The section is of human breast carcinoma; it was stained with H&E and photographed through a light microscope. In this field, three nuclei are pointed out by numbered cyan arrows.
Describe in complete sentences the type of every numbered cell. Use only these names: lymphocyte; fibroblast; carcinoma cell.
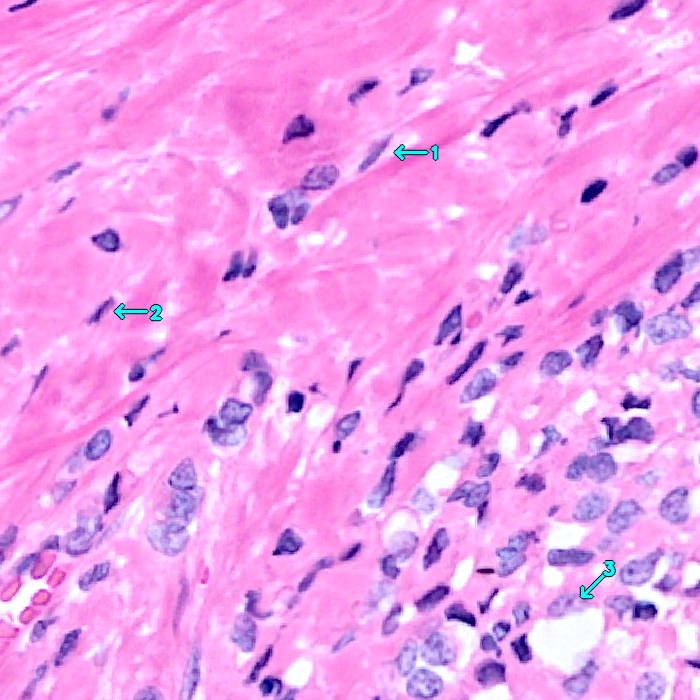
Cells 1 and 2 are fibroblasts. Cell 3 is a carcinoma cell.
